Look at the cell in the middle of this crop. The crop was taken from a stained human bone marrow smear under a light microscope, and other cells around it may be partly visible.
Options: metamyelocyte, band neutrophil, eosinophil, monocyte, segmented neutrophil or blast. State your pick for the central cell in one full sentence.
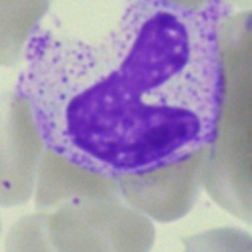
The cell in the middle of the field of view is a band neutrophil.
